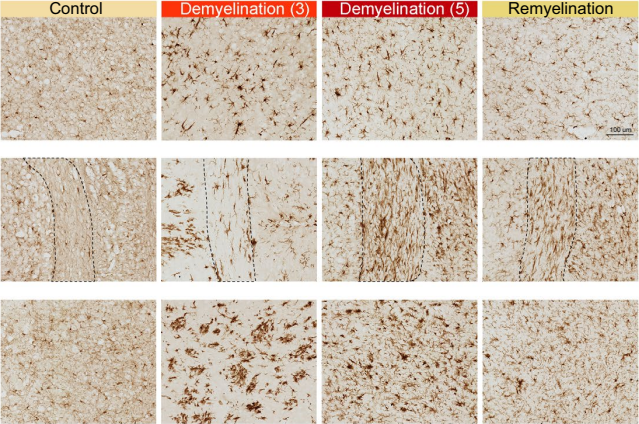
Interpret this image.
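In the top and bottom rows the brown cells sit scattered in a pale background; in some columns they have fine, widely spreading branches, while in others they are darker, more compact, with thicker, shorter processes and bushy shapes. The middle row holds a band of fibrous tissue outlined by dashed lines; there the brown cells are elongated and lined up along the band, and in some columns they crowd the band densely, making it much darker than its surroundings.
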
